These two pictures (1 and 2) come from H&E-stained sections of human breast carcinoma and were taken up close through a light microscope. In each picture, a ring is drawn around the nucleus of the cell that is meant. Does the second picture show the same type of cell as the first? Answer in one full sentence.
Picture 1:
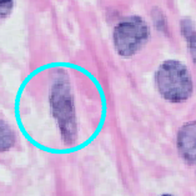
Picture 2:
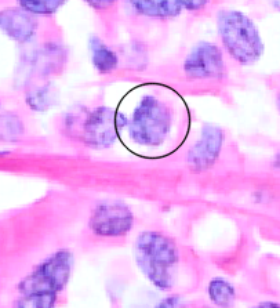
No, the types are not the same, since picture 1 shows a fibroblast and picture 2 a carcinoma cell.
